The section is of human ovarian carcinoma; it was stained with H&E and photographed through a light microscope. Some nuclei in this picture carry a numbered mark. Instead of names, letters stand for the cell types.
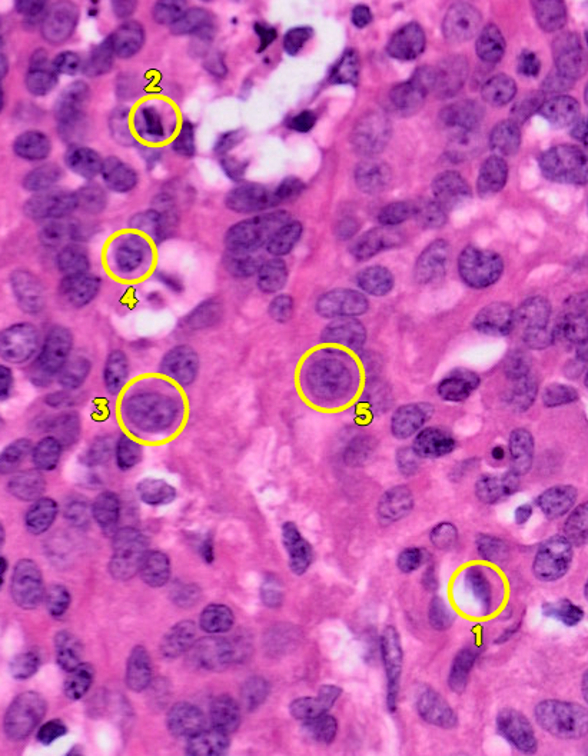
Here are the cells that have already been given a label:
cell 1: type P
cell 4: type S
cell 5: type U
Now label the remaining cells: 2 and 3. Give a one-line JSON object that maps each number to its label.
{"2": "type U", "3": "type U"}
